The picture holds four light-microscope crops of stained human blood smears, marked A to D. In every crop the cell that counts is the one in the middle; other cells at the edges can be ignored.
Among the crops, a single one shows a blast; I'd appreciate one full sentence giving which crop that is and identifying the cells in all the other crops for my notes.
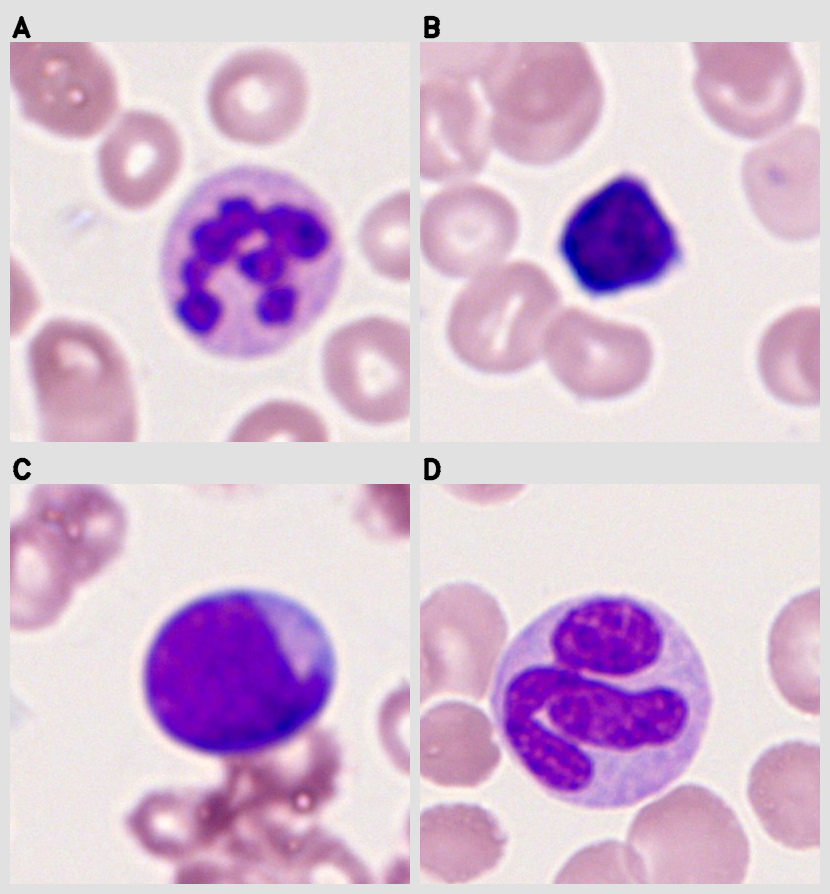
In crop C the cell is a blast, whereas crop A is a neutrophil, crop B is a lymphocyte and crop D is a monocyte.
